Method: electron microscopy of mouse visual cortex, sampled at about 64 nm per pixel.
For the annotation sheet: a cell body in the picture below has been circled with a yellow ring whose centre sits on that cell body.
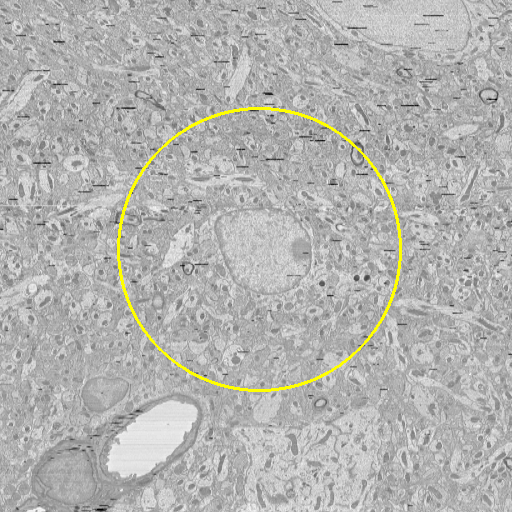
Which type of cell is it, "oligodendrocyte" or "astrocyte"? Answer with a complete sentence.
The circled cell is an astrocyte.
